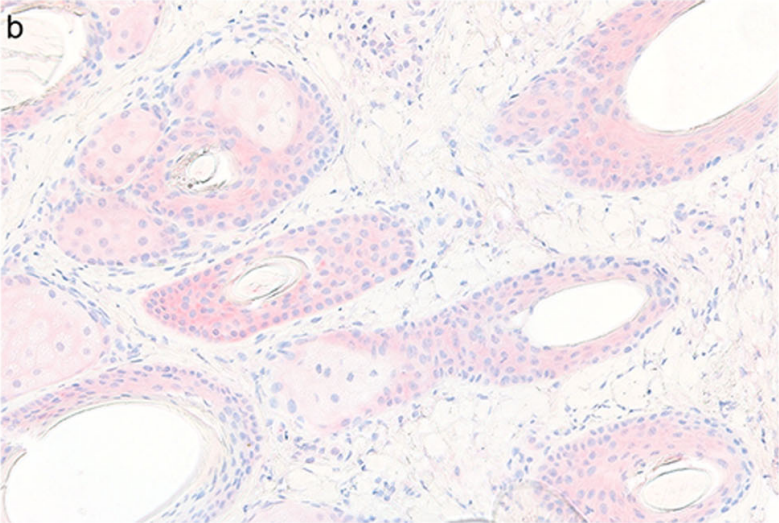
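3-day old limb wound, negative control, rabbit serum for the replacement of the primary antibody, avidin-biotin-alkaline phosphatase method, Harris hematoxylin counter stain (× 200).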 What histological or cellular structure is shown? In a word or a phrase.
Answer: hair follicles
